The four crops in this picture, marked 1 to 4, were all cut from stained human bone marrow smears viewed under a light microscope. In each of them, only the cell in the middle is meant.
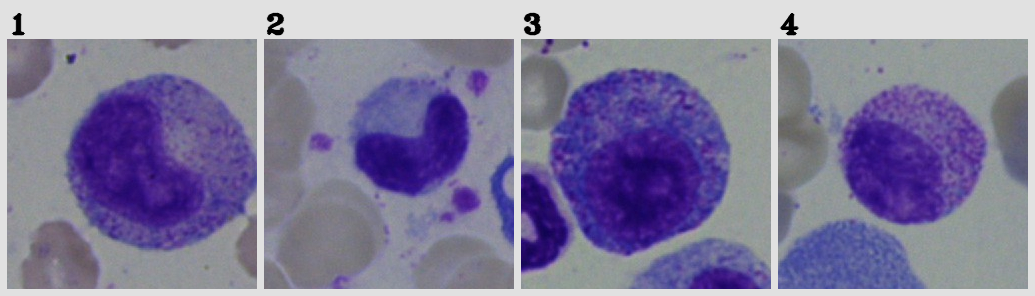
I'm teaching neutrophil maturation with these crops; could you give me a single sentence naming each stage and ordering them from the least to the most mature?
The maturation sequence, earliest to latest, reads crop 3 (a promyelocyte), crop 4 (a myelocyte), crop 1 (a metamyelocyte) and crop 2 (a band neutrophil).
